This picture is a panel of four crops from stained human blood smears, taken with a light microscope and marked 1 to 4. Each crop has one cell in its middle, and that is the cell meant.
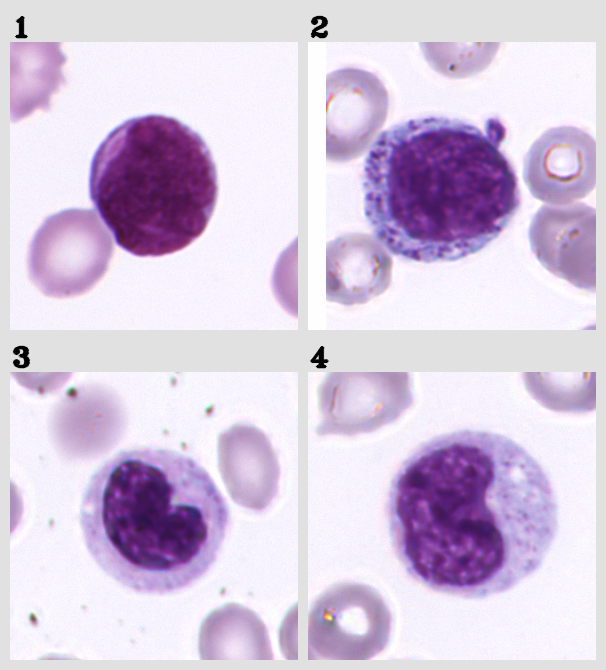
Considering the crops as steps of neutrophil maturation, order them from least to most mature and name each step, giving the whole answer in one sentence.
By stage of maturation, from earliest to latest, the order is crop 1 (a myeloblast), crop 2 (a myelocyte), crop 4 (a metamyelocyte) and crop 3 (a band neutrophil).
